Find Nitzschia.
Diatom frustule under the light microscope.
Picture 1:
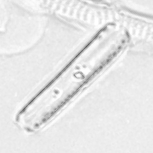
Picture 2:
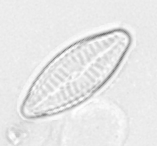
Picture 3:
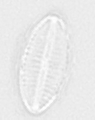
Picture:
1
